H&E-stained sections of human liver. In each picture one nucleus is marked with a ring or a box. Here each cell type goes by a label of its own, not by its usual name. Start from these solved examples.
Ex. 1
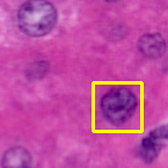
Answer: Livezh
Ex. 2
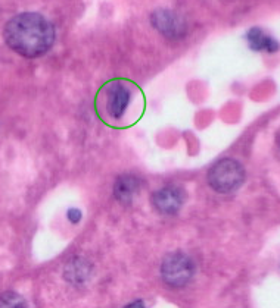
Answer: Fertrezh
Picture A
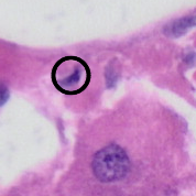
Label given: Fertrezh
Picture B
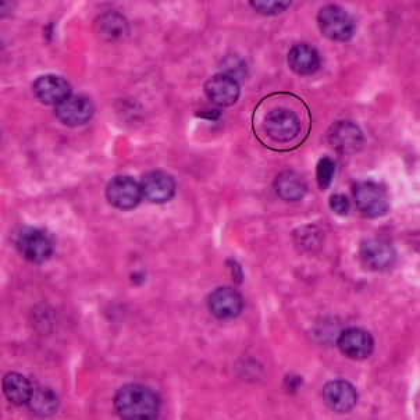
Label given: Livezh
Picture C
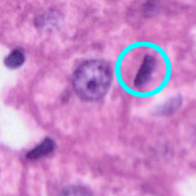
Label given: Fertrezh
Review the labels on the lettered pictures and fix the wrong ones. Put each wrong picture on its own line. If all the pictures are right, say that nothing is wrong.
Every label is right.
